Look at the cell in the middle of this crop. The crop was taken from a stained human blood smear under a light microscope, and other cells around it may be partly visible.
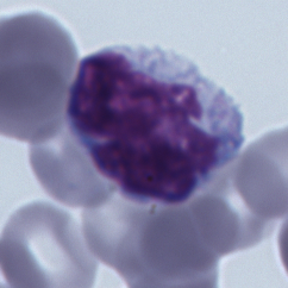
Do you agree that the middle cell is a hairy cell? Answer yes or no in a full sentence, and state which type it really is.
No, what sits in the centre of the crop is a typical lymphocyte rather than a hairy cell.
